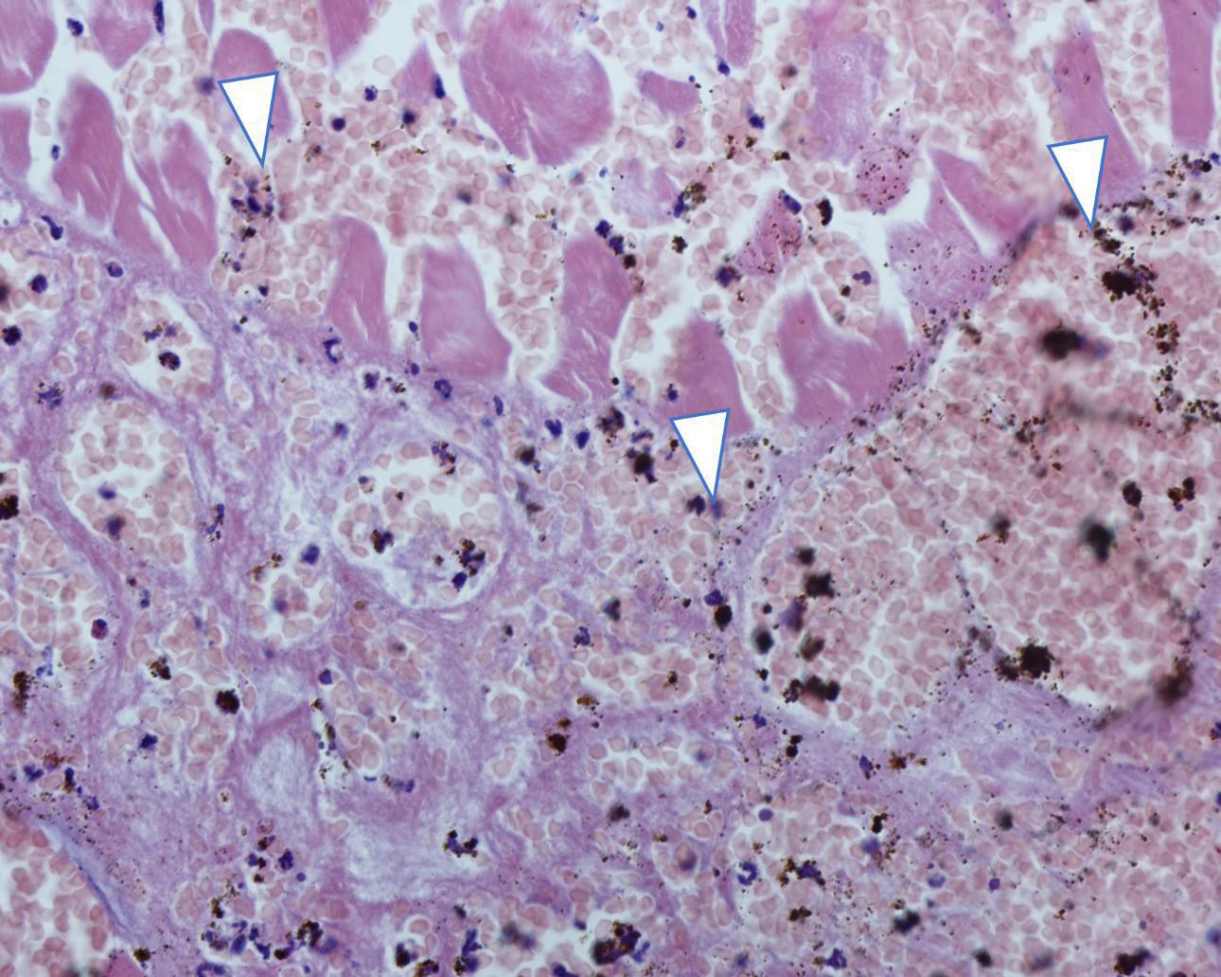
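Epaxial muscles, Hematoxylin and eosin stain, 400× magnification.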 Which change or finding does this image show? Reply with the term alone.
Hemorrhage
